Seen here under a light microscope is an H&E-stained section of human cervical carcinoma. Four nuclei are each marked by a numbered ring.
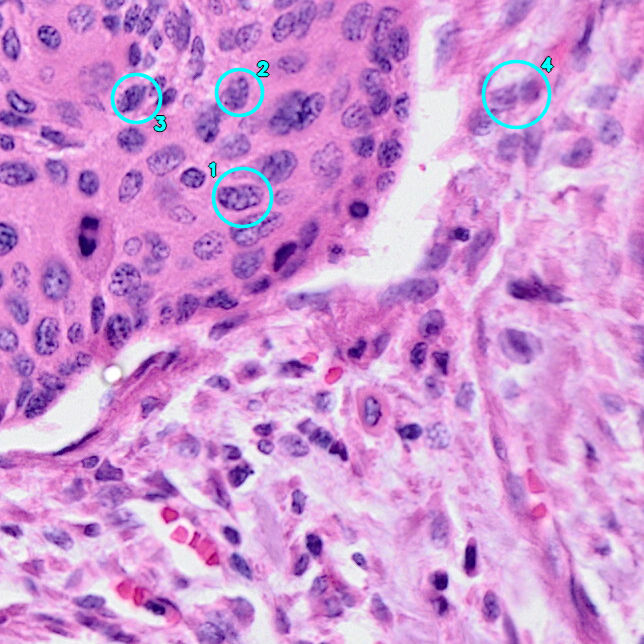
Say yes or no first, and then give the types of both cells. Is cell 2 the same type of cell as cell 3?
Yes, cell 2 and cell 3 are both squamous carcinoma cells.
